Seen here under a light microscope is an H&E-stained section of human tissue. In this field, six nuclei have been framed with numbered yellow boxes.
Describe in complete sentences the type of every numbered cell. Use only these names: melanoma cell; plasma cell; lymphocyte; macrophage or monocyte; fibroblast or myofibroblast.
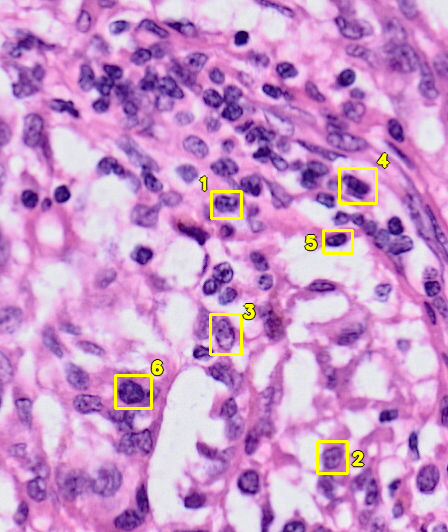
Cell 1 is a lymphocyte, cell 2 is a melanoma cell, cell 3 is a melanoma cell, cell 4 is a lymphocyte, cell 5 is a lymphocyte and cell 6 is a melanoma cell.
